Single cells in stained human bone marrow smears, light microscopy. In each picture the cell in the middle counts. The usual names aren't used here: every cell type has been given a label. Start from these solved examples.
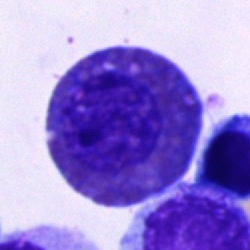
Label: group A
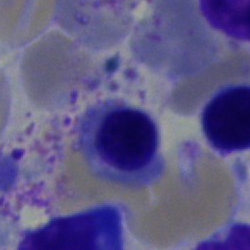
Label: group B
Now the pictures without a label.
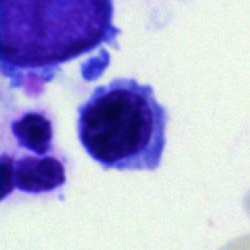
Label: group B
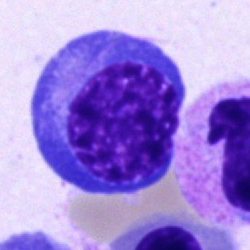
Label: group B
